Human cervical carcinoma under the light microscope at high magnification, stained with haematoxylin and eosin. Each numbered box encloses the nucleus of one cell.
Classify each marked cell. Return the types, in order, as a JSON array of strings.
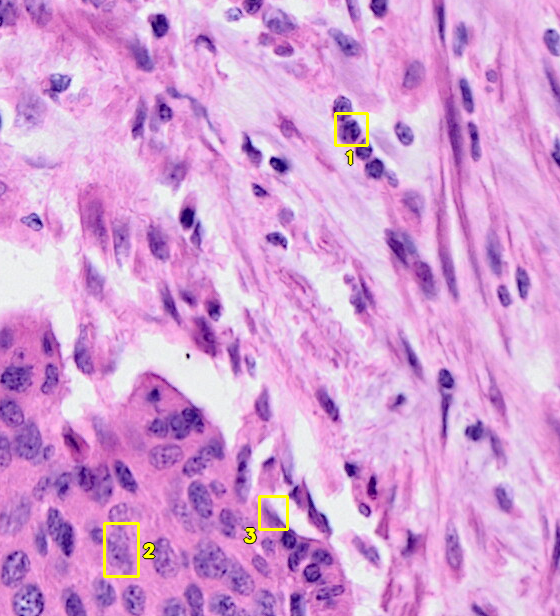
["lymphocyte", "squamous carcinoma cell", "squamous carcinoma cell"]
